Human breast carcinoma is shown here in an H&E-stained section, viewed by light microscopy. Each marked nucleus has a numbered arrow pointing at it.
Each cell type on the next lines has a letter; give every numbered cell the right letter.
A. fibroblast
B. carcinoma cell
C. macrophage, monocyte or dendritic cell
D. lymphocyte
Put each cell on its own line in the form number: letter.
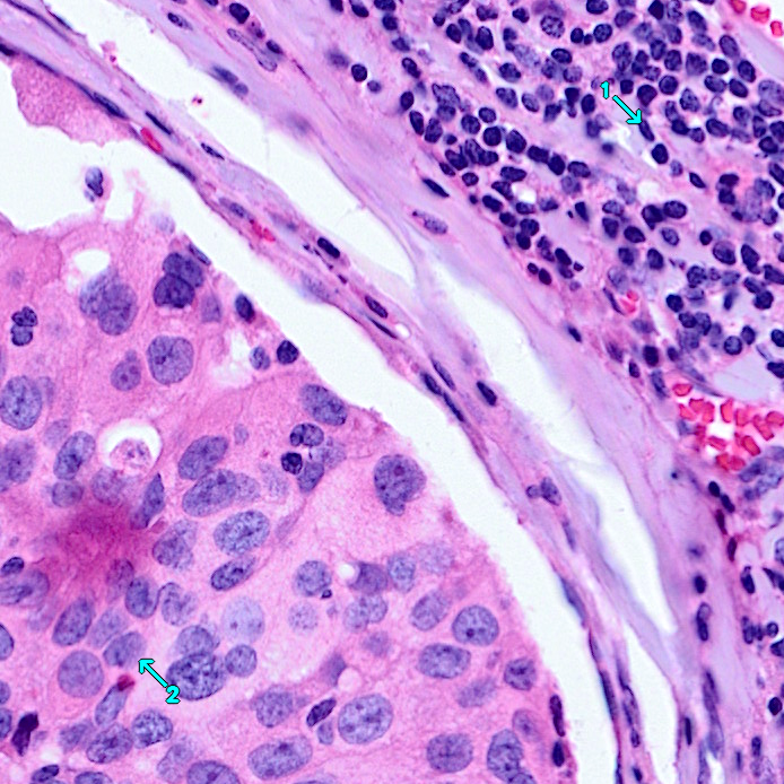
1: D
2: B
